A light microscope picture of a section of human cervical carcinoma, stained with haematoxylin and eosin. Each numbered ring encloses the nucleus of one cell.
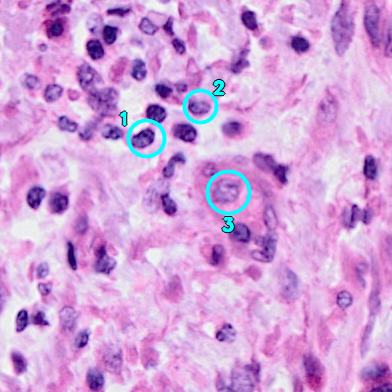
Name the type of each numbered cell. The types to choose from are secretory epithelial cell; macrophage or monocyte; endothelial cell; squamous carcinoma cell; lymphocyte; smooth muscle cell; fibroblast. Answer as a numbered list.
1. lymphocyte
2. lymphocyte
3. endothelial cell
